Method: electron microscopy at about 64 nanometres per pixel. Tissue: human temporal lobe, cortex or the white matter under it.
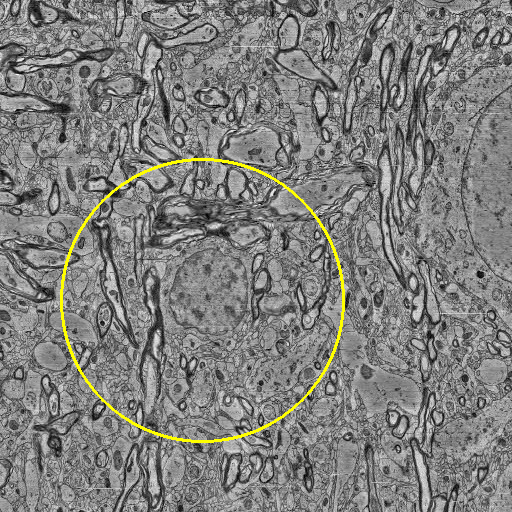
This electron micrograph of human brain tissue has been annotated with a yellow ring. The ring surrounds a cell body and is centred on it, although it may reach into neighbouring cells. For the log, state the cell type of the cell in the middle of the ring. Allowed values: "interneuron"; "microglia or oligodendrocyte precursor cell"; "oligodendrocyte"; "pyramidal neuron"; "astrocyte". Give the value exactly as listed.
oligodendrocyte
